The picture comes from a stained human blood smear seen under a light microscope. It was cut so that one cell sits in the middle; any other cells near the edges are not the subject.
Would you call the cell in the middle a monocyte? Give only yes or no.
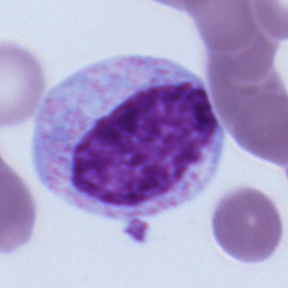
no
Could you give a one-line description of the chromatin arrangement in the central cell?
One feature to record is coarsely clumped chromatin.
